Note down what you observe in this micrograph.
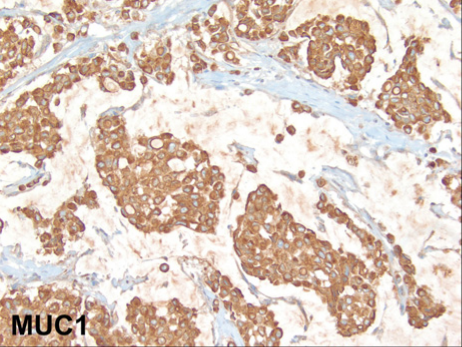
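Here you see tumor cells of an invasive carcinoma gathered in rounded and irregular nests that seem to float in pale pools of extracellular mucin. The cells are fairly uniform, with round nuclei and a rim of cytoplasm that takes a strong brown stain, so each nest looks dark brown against the pale background. Some cells have a clear space around the nucleus. A few single brown cells lie loose in the mucin, away from the nests.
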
